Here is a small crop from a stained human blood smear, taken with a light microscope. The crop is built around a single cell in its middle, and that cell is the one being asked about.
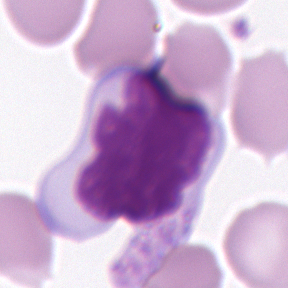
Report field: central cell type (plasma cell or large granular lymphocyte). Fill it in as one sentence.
Framed in the middle of the crop is a large granular lymphocyte.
